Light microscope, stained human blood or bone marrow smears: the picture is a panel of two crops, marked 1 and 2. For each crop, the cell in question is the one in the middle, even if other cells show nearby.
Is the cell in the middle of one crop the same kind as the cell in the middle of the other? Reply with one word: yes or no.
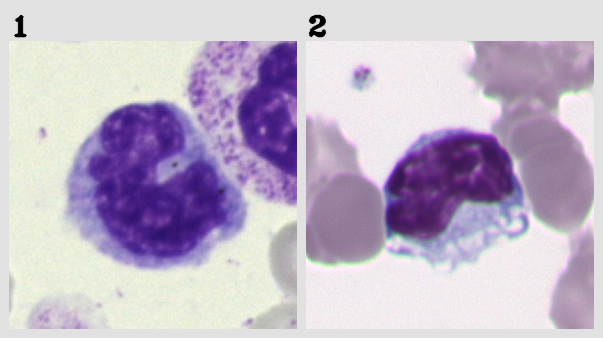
yes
